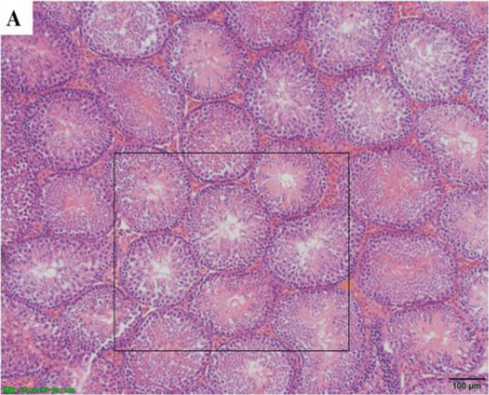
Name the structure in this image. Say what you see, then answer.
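Seminiferous tubule. Many round to oval tubules cut in cross-section, packed side by side. Narrow pink interstitial tissue lies between the tubules.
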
